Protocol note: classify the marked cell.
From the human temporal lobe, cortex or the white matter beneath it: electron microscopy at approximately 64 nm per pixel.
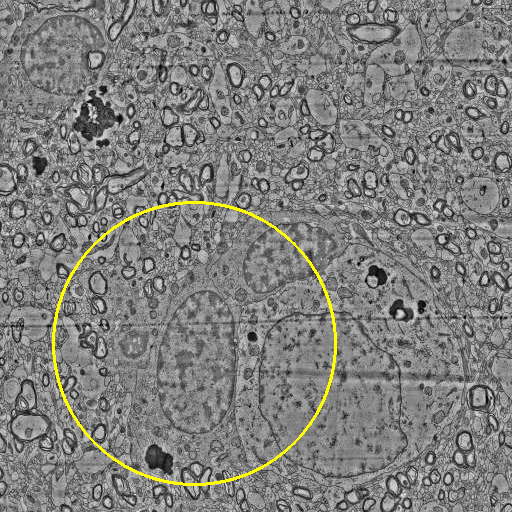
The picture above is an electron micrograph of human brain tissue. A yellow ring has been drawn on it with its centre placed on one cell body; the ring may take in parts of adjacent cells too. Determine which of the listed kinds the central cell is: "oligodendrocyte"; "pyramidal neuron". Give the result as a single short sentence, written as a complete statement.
The central cell is an oligodendrocyte.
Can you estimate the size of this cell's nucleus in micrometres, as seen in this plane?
Approximately 9 by 5 micrometers, which makes the nucleus clearly longer than it is wide in this plane.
